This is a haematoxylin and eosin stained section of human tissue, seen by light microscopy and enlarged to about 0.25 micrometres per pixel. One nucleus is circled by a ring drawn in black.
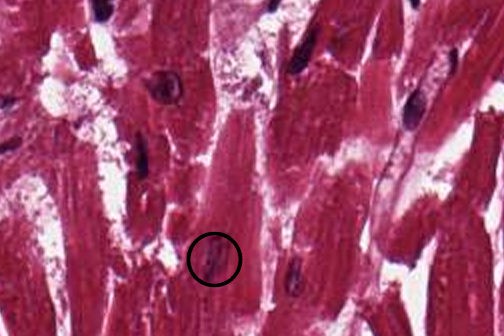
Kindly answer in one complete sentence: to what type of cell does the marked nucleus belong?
The cell whose nucleus is marked is a cardiomyocyte.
